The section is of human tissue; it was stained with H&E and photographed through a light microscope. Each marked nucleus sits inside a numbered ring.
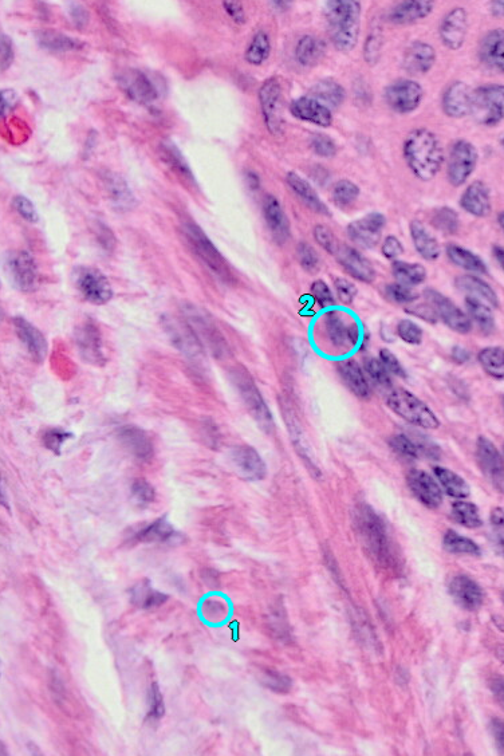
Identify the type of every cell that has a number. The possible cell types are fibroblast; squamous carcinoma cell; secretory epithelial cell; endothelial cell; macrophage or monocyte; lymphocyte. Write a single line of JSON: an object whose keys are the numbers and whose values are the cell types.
{"1": "fibroblast", "2": "squamous carcinoma cell"}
